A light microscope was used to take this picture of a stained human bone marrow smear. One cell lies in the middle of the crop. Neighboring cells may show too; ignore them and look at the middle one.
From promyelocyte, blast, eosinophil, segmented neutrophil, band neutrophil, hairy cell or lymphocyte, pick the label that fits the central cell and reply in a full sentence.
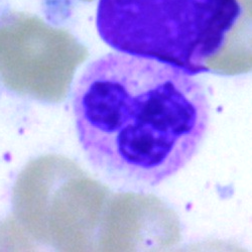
What sits at the centre of this crop is a segmented neutrophil.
